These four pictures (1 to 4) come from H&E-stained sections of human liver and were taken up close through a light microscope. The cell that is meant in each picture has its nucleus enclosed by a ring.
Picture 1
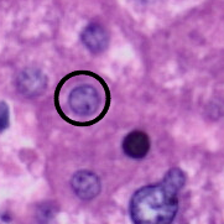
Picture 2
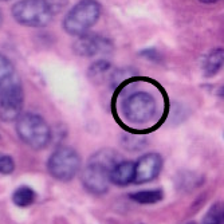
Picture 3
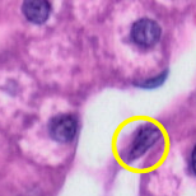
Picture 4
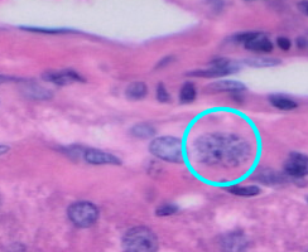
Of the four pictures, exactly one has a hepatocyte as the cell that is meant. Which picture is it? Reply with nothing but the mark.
1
